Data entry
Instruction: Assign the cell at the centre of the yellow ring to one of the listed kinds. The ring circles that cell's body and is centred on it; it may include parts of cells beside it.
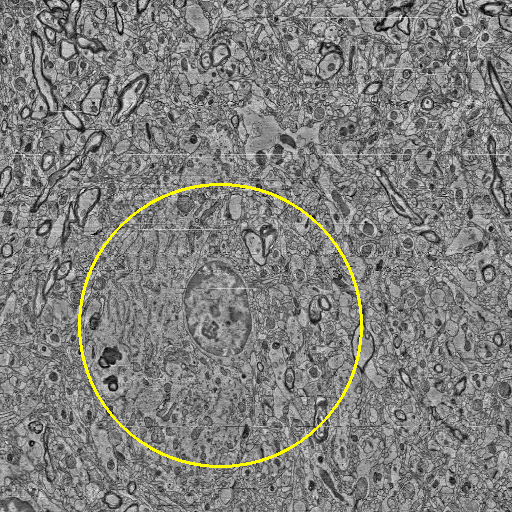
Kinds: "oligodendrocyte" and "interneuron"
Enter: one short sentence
The centre of the ring falls on an oligodendrocyte.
